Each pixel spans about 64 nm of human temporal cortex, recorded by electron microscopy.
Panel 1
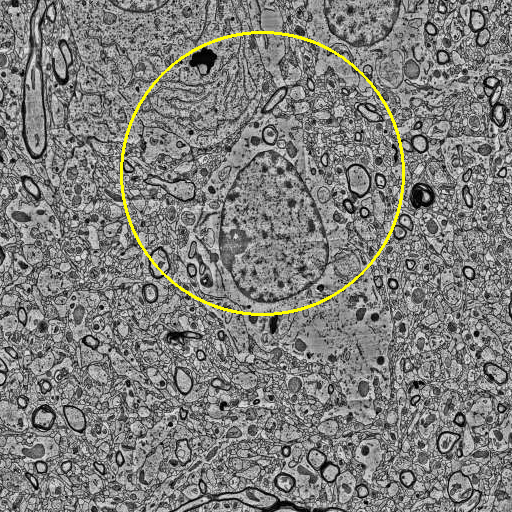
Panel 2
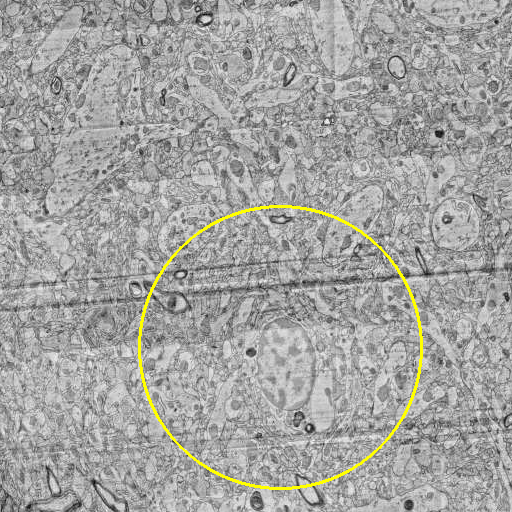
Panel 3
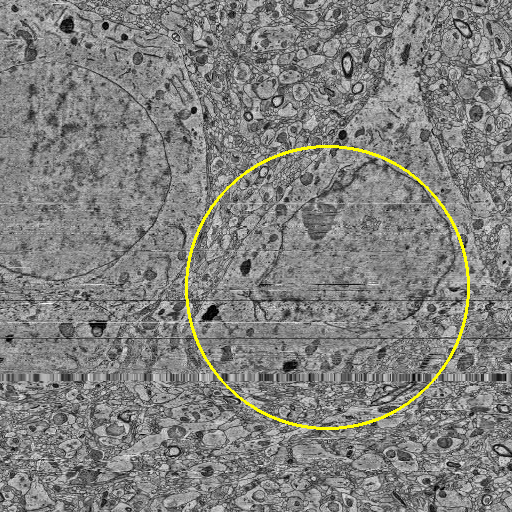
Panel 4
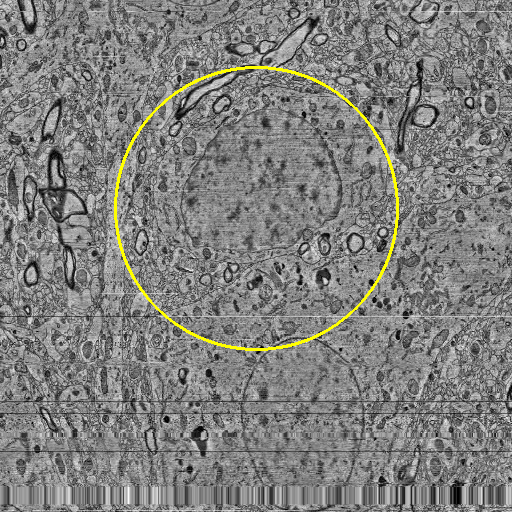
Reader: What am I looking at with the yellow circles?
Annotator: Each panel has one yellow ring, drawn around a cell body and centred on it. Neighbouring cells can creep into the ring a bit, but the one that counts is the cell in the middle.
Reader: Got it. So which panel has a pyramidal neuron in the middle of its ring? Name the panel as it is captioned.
Panel 3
